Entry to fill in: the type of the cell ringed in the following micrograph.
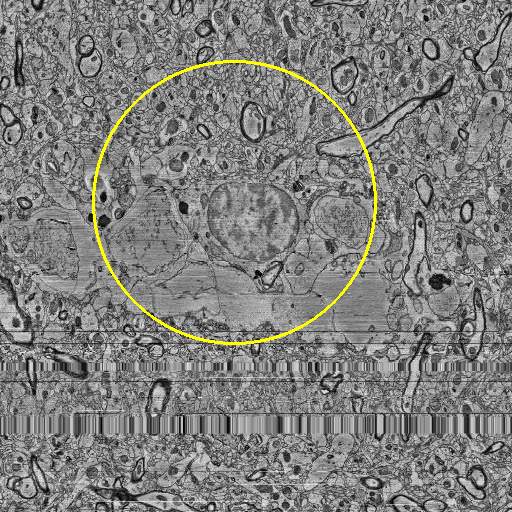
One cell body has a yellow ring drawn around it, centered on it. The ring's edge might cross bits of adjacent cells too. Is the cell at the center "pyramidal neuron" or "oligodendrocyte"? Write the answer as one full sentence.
This entry names an oligodendrocyte as the cell whose body lies at the ring's center.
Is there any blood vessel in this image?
Yes, a vessel appears in the picture.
